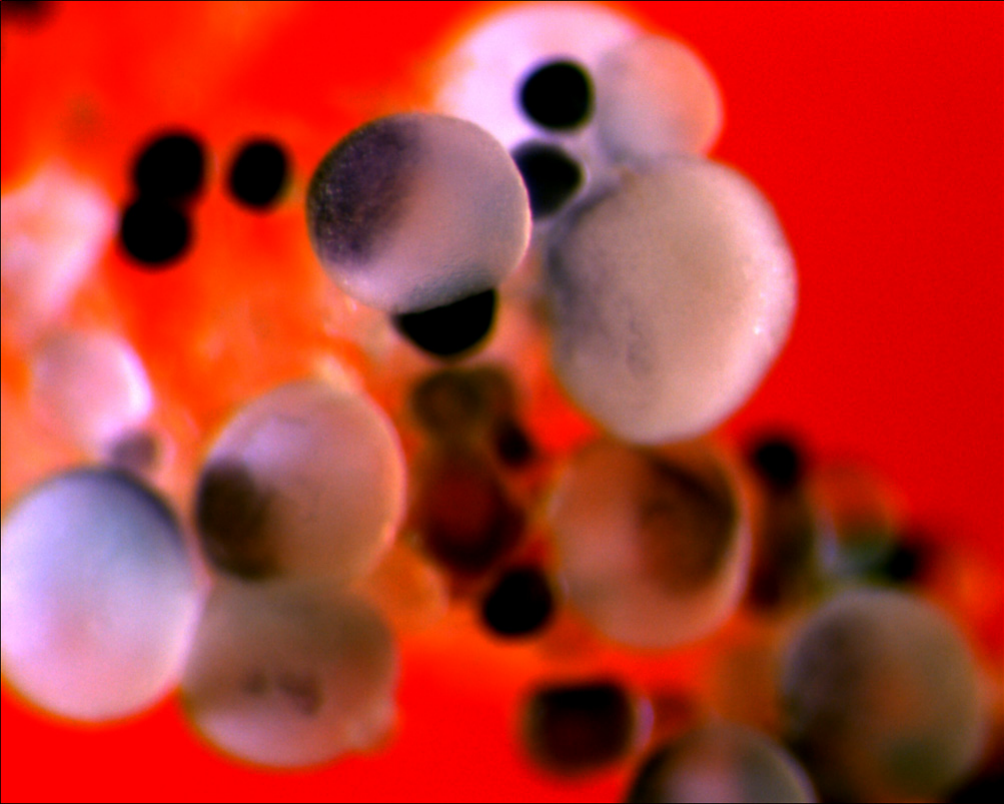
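This is a fragment of ovary seen whole, with oocytes of different sizes lying loosely together against a red background. The largest cells are vitellogenic oocytes, round and whitish. In several of them a dark purplish stain forms a crescent or patch on one side while the rest of the cell stays pale. Among them lie many much smaller oocytes that are stained dark throughout. These small, evenly dark spheres sit in clusters between and behind the large pale oocytes.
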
